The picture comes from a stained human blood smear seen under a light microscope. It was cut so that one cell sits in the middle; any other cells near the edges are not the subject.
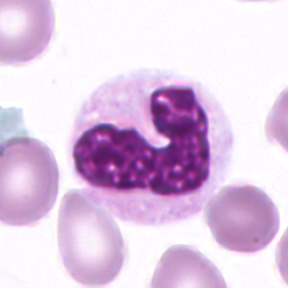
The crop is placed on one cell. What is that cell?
band neutrophil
